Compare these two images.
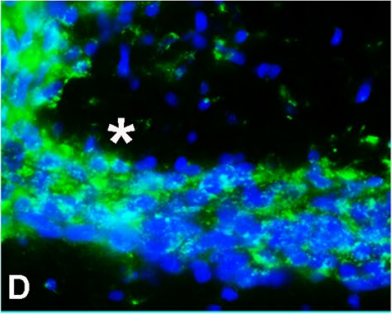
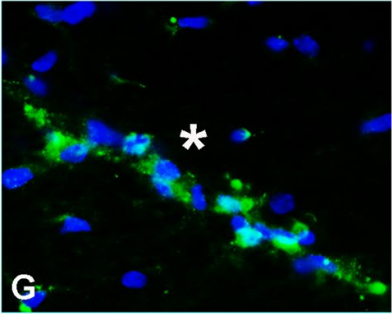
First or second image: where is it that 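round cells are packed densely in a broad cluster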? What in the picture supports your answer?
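The first image. Second image: a thin, sparse line of green cells with scattered nuclei. First image: a broad band of densely packed nuclei with many green cells.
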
